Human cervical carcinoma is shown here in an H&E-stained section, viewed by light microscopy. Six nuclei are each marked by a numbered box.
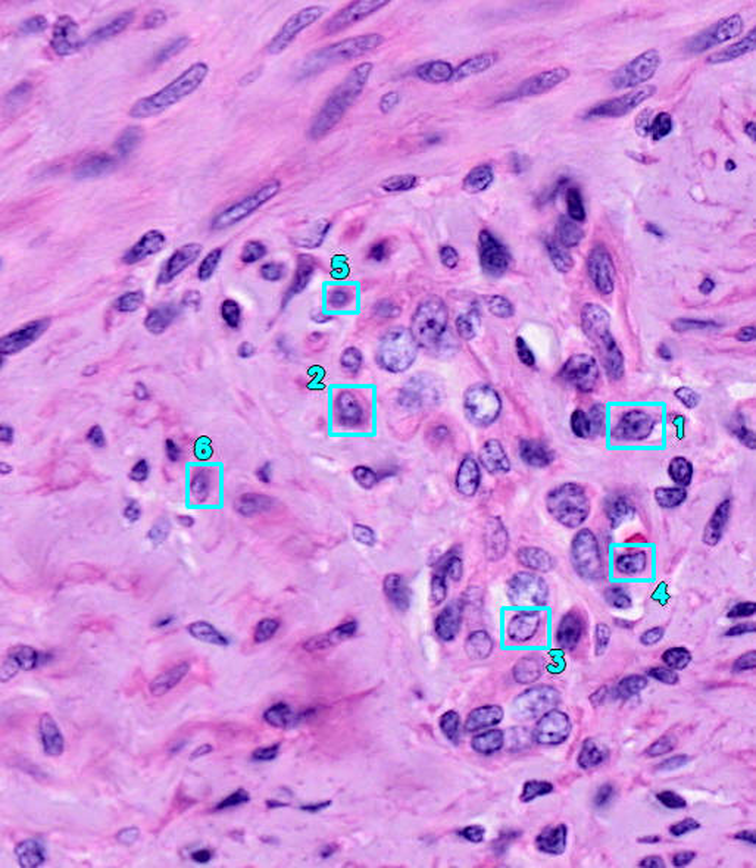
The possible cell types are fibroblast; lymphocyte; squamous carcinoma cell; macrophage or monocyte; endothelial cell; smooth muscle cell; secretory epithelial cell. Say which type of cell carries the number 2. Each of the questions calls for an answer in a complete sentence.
The marked cell bearing number 2 is a smooth muscle cell.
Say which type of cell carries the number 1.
The cell numbered 1 represents a lymphocyte.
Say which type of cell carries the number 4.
Identified as an endothelial cell is the cell bearing the number 4.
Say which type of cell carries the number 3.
The marked nucleus 3 is that of an endothelial cell.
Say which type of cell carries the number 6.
The cell to which the number 6 is assigned is a smooth muscle cell.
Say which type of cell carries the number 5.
In this section, number 5 marks a smooth muscle cell.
